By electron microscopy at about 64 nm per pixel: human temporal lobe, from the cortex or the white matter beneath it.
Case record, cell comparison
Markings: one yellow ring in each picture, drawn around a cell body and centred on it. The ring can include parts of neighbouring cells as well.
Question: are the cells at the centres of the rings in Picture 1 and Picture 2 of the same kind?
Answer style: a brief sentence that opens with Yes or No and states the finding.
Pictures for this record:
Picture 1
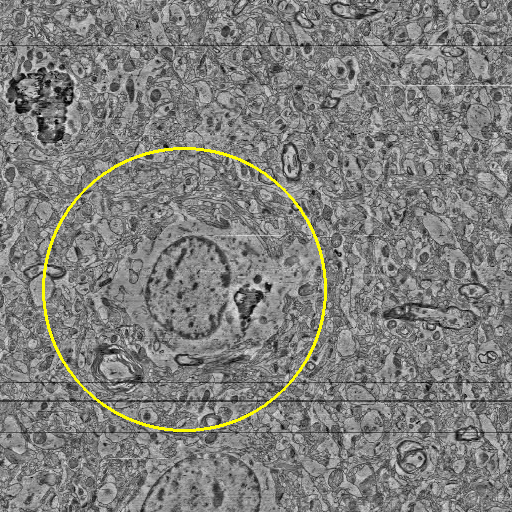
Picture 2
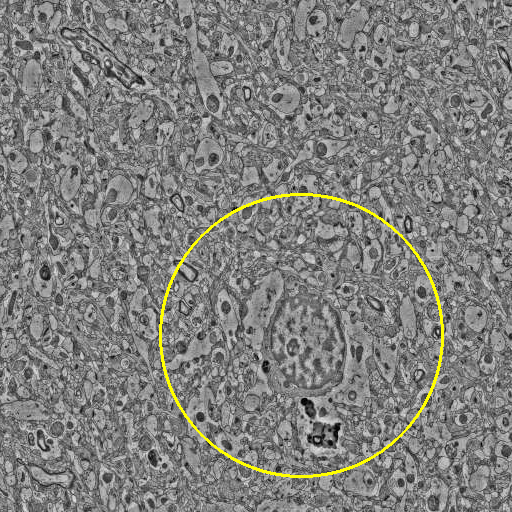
No, the cells in Picture 1 and Picture 2 are of two kinds.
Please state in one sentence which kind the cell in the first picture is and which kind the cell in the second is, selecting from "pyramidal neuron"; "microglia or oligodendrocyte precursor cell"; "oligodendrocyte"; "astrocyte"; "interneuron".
The first ringed cell is an astrocyte, the second ringed cell an oligodendrocyte.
